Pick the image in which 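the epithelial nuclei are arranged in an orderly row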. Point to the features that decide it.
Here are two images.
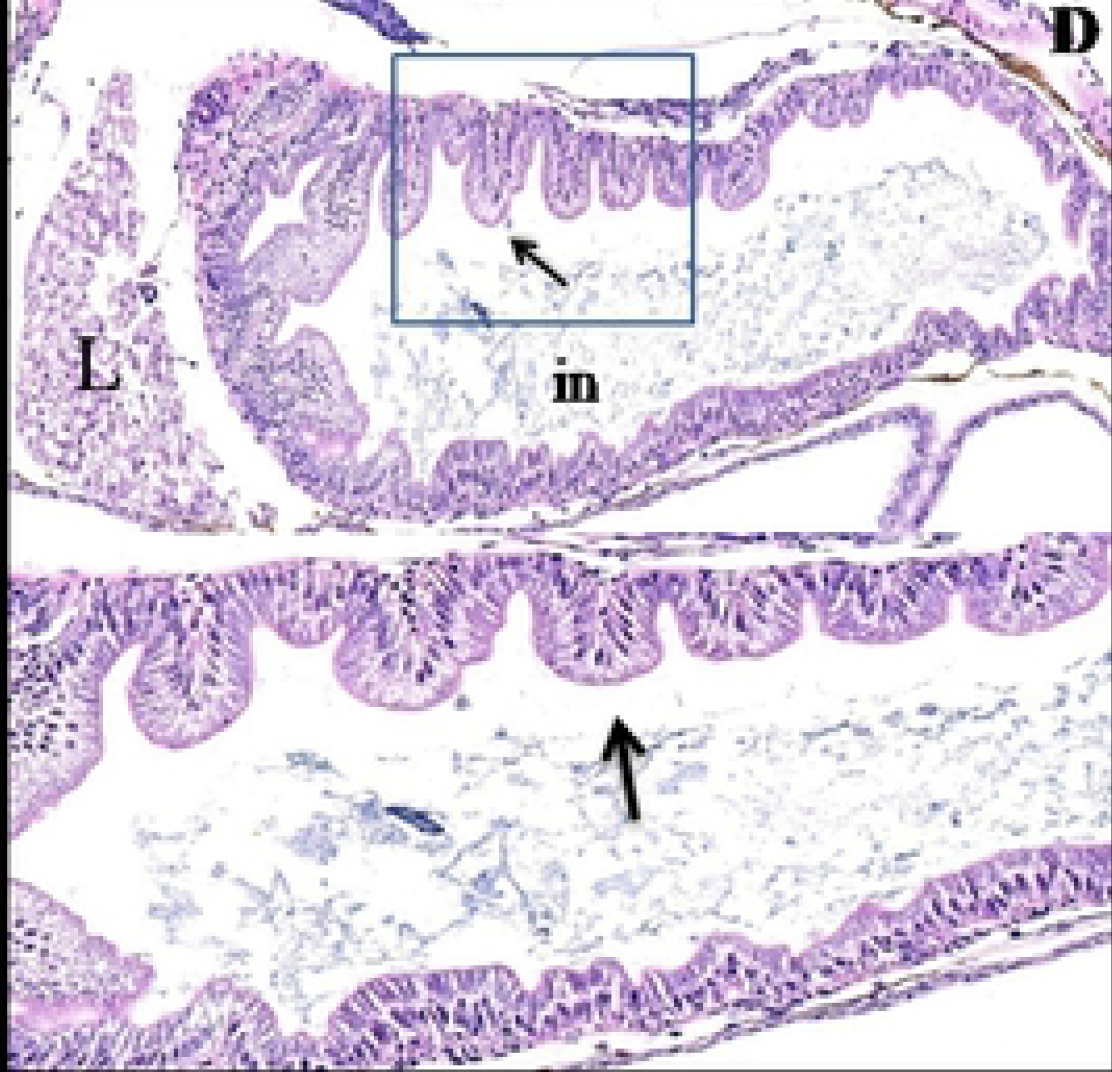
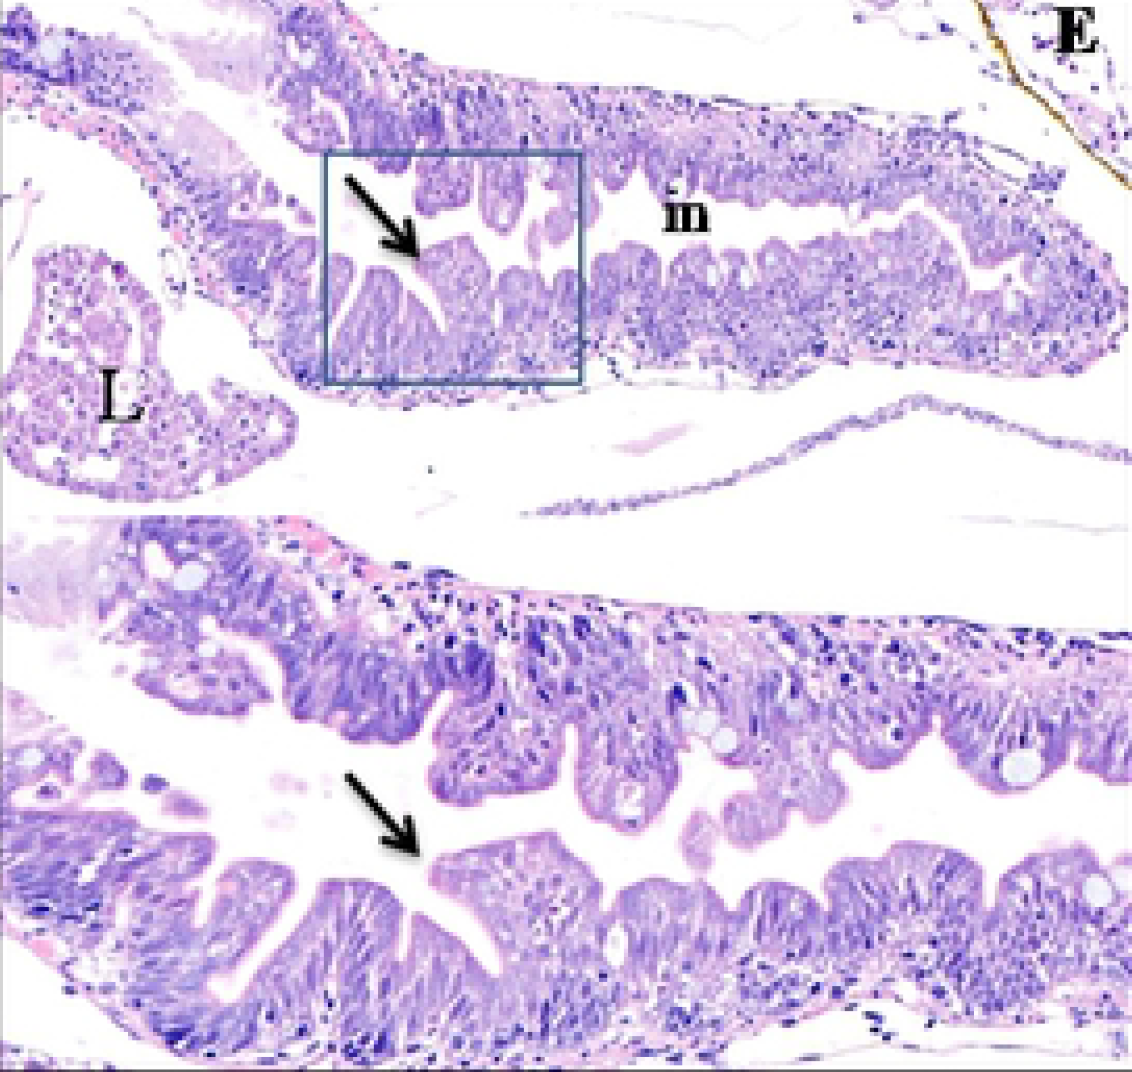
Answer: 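Second image: nuclei are crowded and scattered through the thickened epithelium. First image: nuclei line up neatly within evenly spaced columnar cells.
Answer: the first image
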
